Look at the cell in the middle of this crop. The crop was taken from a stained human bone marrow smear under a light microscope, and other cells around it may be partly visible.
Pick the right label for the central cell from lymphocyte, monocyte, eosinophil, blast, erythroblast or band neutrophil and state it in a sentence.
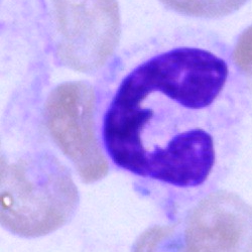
This crop is built around a band neutrophil at its centre.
